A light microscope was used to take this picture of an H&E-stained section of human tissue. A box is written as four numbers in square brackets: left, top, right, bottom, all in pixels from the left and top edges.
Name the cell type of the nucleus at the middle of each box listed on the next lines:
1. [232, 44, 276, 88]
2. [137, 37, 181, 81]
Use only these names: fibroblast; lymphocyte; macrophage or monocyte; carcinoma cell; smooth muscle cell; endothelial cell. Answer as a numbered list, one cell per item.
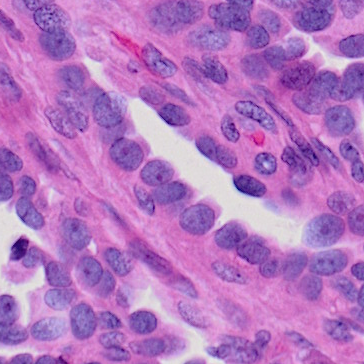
1. carcinoma cell
2. endothelial cell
